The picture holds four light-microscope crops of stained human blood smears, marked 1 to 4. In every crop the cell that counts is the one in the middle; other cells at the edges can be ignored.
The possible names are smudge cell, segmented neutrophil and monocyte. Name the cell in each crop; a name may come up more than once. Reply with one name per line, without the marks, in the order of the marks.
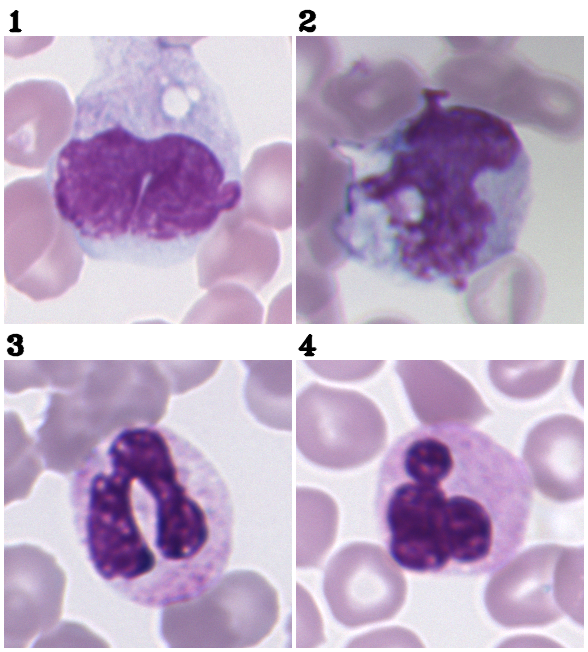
monocyte
monocyte
segmented neutrophil
segmented neutrophil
